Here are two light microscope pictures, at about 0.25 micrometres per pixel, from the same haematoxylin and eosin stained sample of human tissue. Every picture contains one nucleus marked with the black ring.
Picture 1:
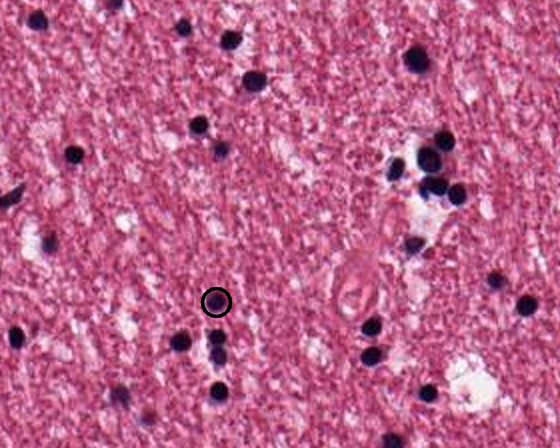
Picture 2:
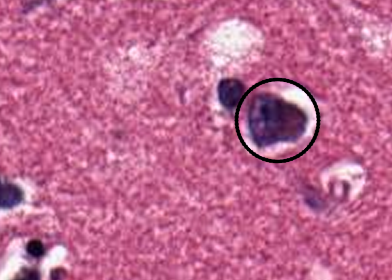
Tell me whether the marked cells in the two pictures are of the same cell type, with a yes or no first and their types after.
No, the first is an oligodendrocyte and the second a neuron.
